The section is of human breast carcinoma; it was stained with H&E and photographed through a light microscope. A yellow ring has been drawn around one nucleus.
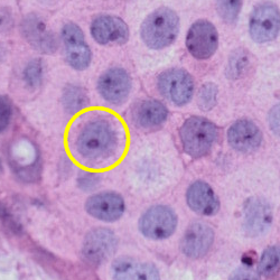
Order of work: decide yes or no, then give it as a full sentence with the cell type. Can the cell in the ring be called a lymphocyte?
No, mark the cell in the ring as a carcinoma cell, not as a lymphocyte.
